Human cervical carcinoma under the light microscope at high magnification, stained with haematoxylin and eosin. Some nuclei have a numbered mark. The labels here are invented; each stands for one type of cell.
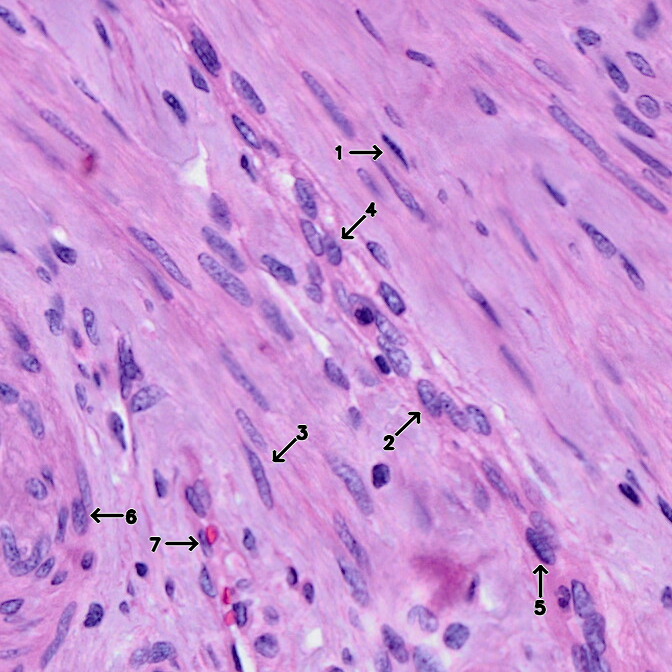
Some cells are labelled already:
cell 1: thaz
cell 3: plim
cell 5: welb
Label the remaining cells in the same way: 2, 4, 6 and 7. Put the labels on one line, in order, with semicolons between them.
welb; welb; plim; welb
